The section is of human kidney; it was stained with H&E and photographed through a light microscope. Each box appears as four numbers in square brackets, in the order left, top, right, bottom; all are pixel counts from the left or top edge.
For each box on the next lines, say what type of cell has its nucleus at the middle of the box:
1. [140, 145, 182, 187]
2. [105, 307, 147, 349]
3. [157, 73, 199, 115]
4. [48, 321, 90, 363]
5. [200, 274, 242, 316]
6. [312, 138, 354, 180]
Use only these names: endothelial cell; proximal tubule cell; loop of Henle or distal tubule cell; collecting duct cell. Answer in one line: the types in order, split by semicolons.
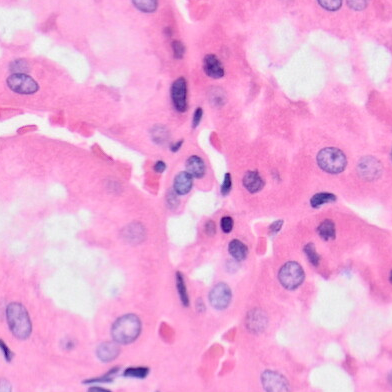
endothelial cell; proximal tubule cell; proximal tubule cell; proximal tubule cell; collecting duct cell; proximal tubule cell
